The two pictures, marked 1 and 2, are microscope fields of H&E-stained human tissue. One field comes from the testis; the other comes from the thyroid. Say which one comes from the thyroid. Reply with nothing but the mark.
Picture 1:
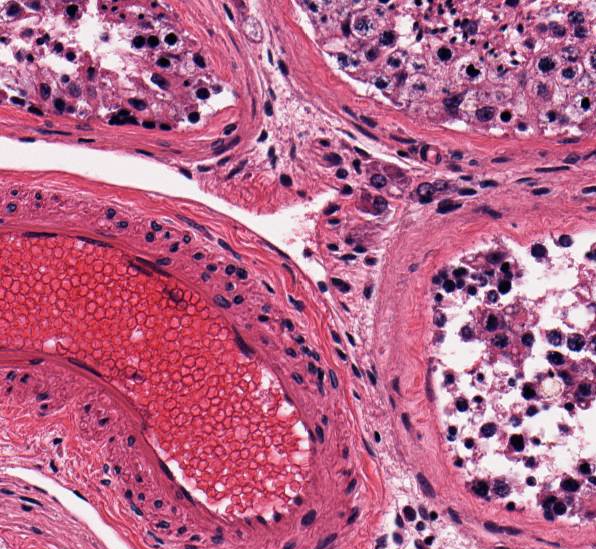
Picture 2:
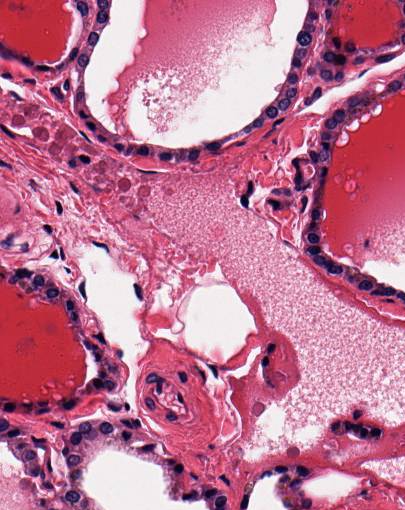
2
